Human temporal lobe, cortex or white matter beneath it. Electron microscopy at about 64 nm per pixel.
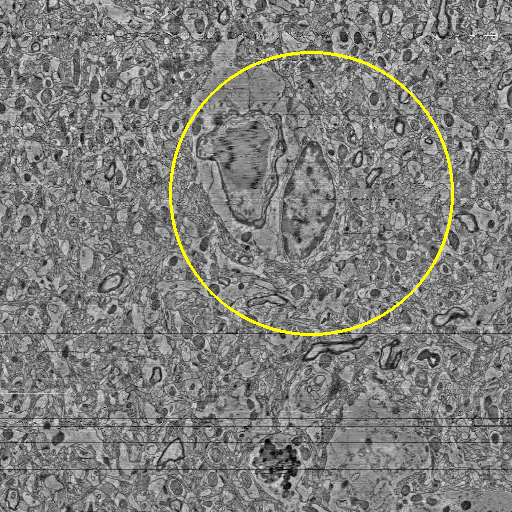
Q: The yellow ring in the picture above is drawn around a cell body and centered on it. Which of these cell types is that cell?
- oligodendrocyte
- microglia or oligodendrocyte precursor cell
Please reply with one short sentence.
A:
The cell body at the ring's center belongs to a microglial cell or oligodendrocyte precursor cell.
